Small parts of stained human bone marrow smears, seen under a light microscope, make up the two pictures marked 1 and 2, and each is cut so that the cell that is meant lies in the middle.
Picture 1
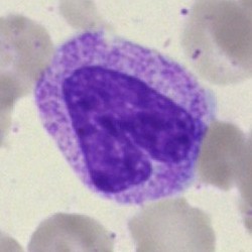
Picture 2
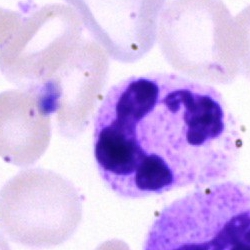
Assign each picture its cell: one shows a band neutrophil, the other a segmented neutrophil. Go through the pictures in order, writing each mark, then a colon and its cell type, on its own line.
1: band neutrophil
2: segmented neutrophil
